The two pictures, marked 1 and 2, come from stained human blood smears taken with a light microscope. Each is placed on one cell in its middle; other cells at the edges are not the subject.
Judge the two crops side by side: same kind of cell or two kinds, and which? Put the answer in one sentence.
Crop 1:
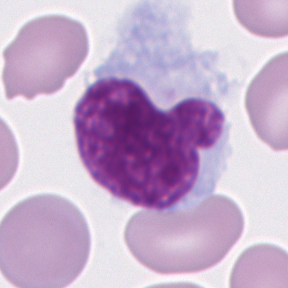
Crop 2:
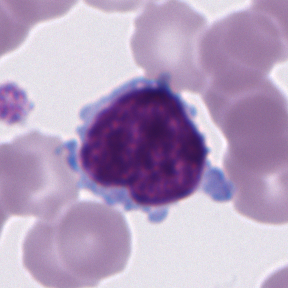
No, a hairy cell and a typical lymphocyte are found in crop 1 and crop 2, respectively.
